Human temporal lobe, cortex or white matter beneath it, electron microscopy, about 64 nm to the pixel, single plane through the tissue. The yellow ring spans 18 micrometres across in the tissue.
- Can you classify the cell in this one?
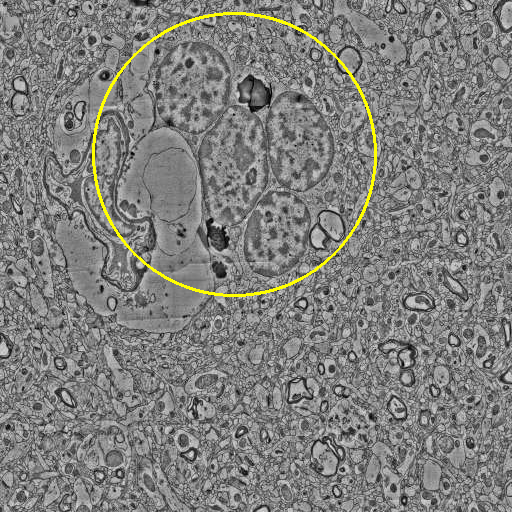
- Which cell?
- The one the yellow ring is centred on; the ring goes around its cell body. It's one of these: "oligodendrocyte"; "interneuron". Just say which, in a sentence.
The cell body in the ring belongs to an oligodendrocyte.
